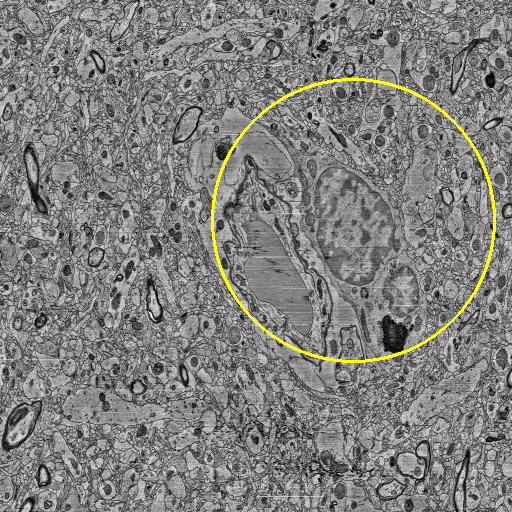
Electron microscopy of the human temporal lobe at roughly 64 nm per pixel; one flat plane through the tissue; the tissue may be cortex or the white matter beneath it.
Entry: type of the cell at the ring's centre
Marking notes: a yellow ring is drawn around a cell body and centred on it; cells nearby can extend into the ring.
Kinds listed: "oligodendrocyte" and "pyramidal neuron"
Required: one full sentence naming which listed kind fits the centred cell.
My entry names an oligodendrocyte as the cell whose body the yellow ring centres on.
